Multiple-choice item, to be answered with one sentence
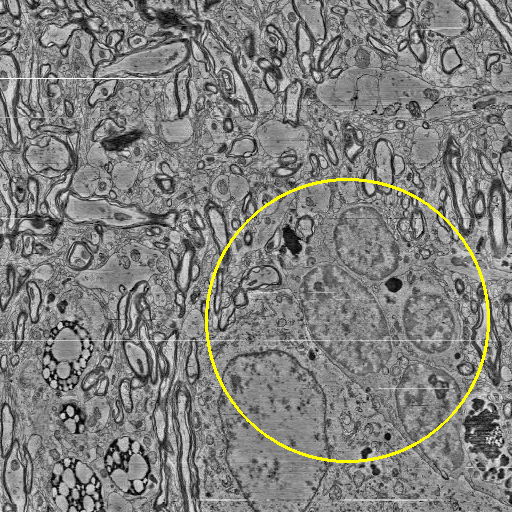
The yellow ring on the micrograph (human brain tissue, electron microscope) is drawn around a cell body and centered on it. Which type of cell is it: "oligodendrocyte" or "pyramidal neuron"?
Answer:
The ring is centered on an oligodendrocyte.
